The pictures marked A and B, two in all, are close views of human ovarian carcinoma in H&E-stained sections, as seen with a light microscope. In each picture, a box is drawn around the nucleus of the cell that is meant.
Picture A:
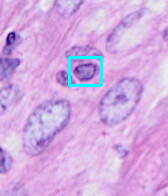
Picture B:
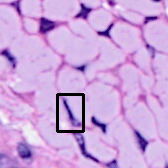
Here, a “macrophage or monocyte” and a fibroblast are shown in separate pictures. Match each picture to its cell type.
A: macrophage or monocyte
B: fibroblast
